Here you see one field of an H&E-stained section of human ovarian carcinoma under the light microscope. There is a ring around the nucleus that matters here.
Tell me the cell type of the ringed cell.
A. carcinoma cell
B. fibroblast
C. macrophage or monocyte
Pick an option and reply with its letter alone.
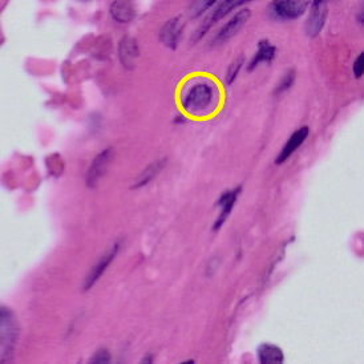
C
